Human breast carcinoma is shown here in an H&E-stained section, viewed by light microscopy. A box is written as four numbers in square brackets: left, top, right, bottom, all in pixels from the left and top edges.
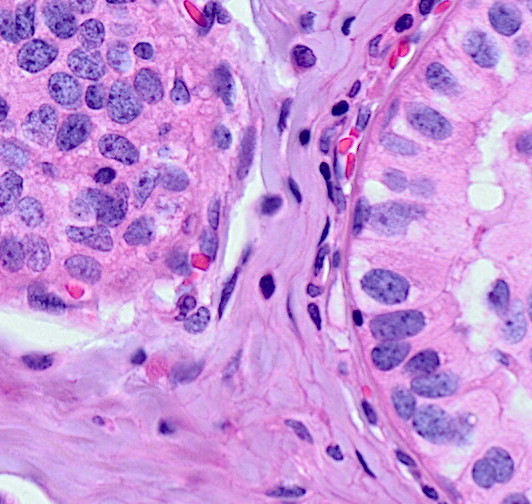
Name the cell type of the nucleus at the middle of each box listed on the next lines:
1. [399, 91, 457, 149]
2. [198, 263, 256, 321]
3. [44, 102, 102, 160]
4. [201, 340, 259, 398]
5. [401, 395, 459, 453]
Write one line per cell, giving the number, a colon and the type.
1: carcinoma cell
2: fibroblast
3: carcinoma cell
4: fibroblast
5: carcinoma cell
